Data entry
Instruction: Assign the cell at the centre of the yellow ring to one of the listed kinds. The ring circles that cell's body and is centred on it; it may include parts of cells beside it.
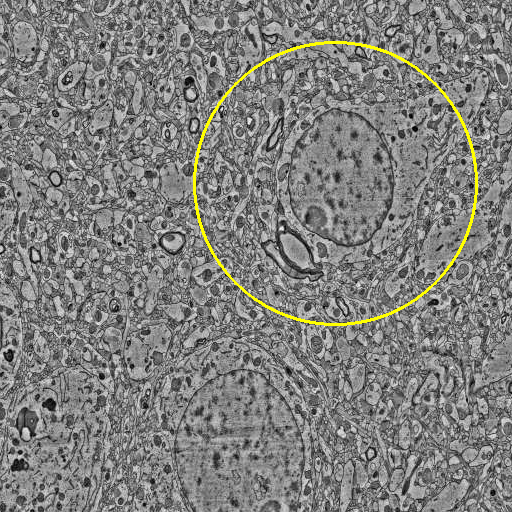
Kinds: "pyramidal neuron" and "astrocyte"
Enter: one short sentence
The centre of the ring falls on a pyramidal neuron.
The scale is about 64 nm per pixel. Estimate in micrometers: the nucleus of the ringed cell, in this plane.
In this plane the nucleus is about 9 micrometres by 7.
